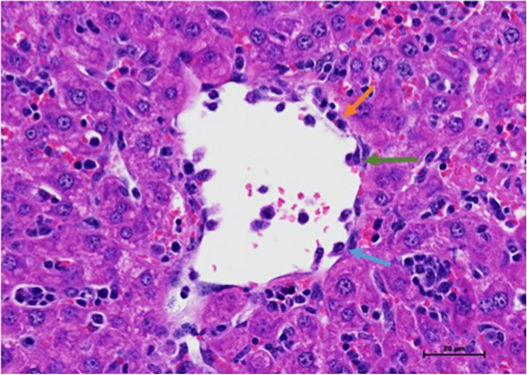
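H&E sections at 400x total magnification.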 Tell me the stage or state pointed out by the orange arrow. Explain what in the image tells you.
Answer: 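The arrowed lining cell has a plump, rounded dark nucleus. The lining cells stand up from the vessel wall rather than lying flat.
Answer: endothelial cell activation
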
